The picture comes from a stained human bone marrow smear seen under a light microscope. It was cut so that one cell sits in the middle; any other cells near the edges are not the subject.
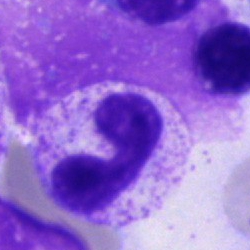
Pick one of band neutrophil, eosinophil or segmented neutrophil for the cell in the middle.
band neutrophil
